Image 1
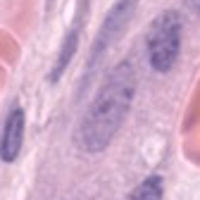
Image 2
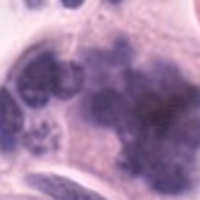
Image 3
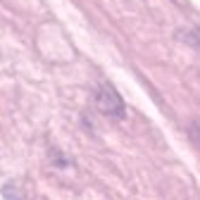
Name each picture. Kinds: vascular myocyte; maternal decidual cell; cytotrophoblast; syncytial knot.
1. cytotrophoblast
2. syncytial knot
3. vascular myocyte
